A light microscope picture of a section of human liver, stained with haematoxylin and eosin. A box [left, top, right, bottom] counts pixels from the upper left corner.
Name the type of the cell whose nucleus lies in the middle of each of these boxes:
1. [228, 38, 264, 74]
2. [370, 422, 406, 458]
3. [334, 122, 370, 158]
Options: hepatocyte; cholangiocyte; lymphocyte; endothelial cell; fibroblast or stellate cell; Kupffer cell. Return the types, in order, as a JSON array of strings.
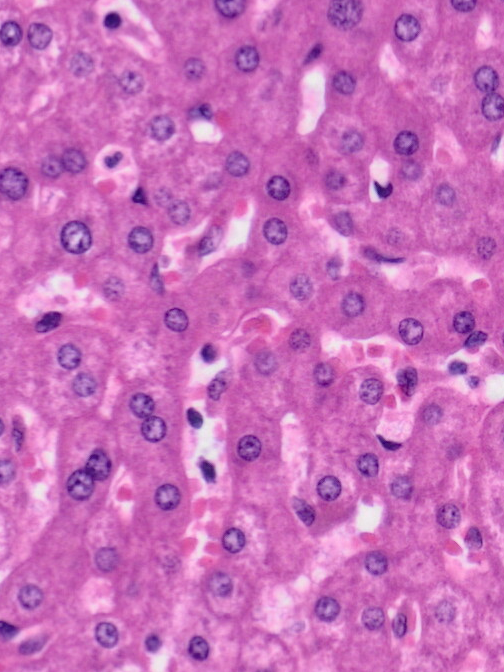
["hepatocyte", "endothelial cell", "hepatocyte"]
